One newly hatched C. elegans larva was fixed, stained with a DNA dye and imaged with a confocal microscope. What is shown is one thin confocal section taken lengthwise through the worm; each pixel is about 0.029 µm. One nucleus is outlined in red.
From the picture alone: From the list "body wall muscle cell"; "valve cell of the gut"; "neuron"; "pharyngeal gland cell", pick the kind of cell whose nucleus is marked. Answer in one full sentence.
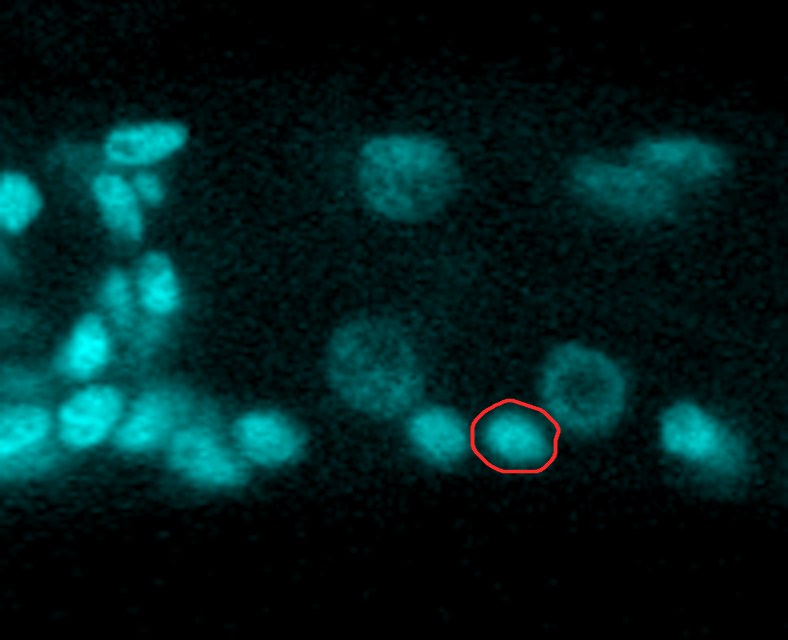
The marked nucleus is that of a neuron.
